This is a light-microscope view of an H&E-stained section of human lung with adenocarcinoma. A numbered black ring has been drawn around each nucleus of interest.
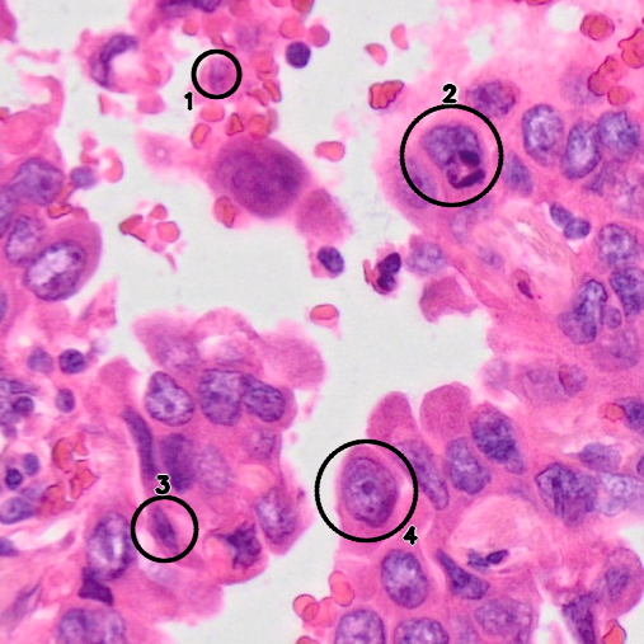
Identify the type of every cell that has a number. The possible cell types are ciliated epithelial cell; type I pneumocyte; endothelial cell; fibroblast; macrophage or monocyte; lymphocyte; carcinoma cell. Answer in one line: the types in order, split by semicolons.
macrophage or monocyte; carcinoma cell; carcinoma cell; carcinoma cell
